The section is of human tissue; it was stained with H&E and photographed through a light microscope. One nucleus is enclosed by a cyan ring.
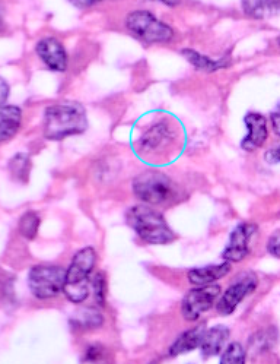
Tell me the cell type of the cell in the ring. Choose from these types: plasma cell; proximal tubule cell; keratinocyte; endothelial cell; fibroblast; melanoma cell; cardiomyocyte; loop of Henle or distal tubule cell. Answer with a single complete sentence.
As far as its identity is concerned, the cell in the ring is a melanoma cell.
